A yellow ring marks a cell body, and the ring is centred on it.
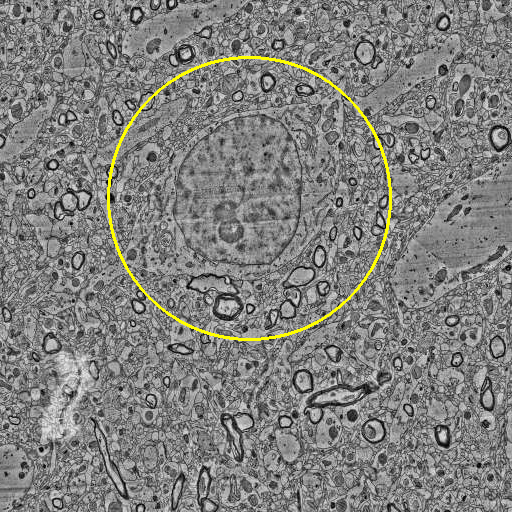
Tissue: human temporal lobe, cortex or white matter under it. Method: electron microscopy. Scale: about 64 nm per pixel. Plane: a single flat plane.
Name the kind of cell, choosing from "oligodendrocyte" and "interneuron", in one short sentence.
The marked cell body belongs to an interneuron.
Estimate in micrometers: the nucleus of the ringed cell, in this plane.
The nucleus works out at approximately 10 by 8 micrometres in this plane.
